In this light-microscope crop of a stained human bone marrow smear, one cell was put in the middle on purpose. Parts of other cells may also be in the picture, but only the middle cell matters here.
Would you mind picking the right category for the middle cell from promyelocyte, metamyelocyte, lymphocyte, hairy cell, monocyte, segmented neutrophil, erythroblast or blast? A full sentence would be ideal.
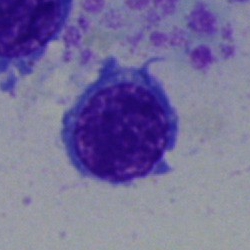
Among the cells in view, the one in the middle is an erythroblast.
